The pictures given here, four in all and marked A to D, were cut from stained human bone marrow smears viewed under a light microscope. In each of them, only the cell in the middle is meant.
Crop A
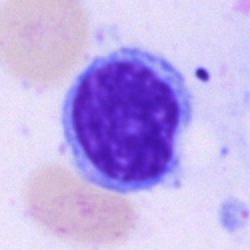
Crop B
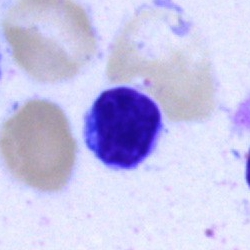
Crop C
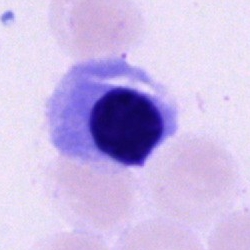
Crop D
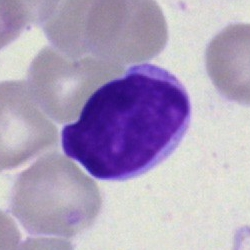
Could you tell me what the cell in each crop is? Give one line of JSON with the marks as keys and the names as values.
{"A": "lymphocyte", "B": "lymphocyte", "C": "erythroblast", "D": "lymphocyte"}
